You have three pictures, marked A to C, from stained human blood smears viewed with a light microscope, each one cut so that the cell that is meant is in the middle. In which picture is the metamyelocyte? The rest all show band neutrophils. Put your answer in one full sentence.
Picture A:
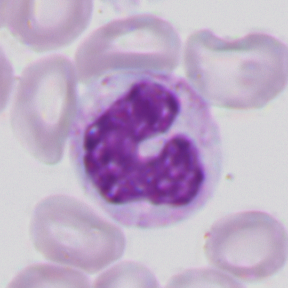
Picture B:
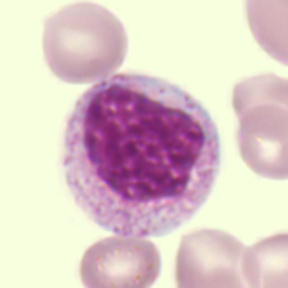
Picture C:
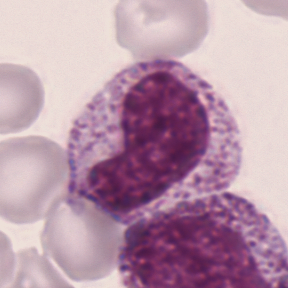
It is picture B that shows the metamyelocyte.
